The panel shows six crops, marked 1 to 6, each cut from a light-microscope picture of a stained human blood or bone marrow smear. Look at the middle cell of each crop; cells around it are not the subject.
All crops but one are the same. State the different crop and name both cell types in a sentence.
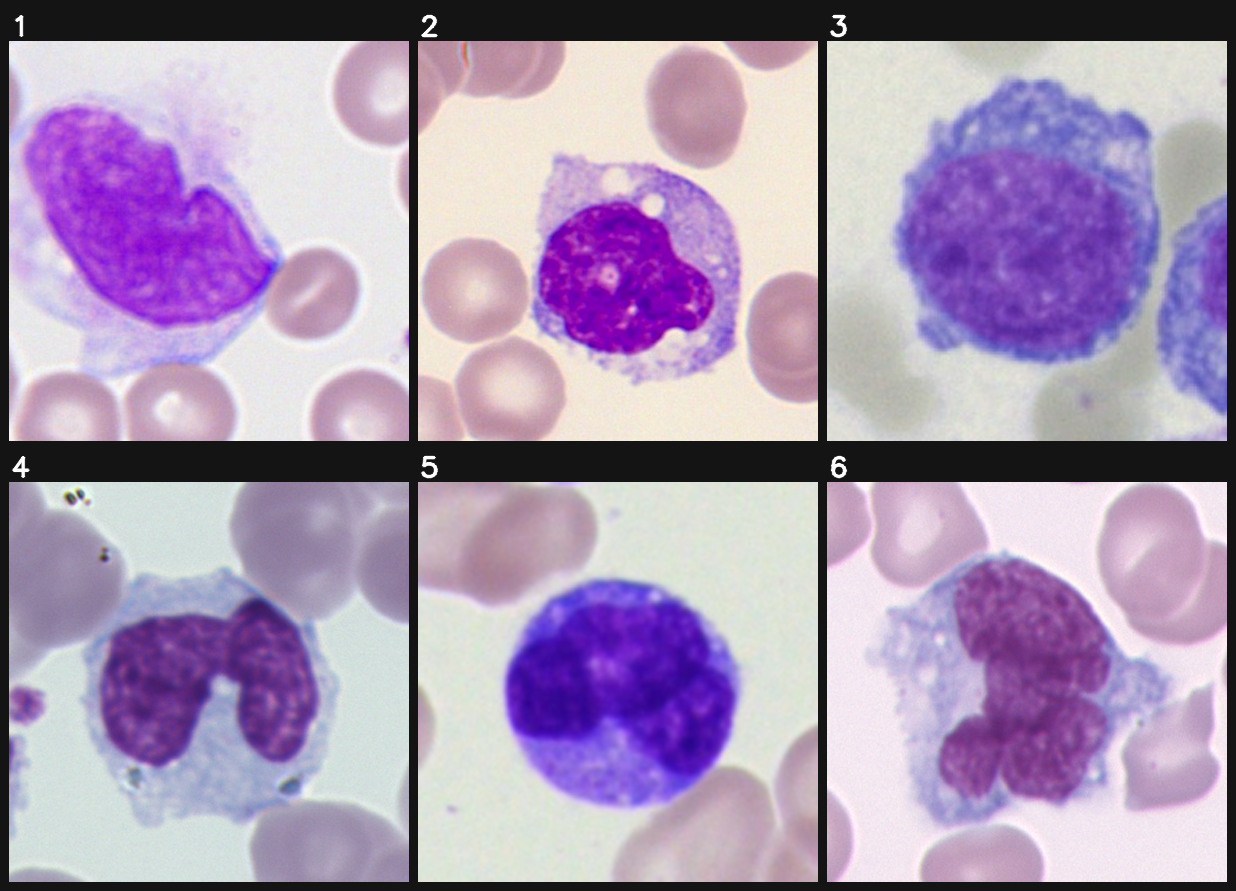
Crop 3 is the sole crop with a blast; the others all have monocytes.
